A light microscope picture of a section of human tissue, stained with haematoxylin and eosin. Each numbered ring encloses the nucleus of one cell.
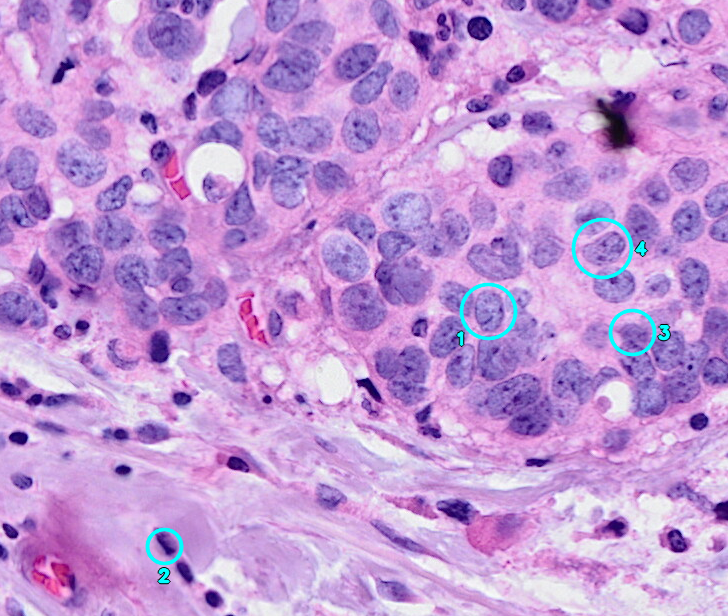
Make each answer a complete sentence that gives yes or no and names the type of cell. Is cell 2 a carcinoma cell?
No, instead of a carcinoma cell, the cell with number 2 is a lymphocyte.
